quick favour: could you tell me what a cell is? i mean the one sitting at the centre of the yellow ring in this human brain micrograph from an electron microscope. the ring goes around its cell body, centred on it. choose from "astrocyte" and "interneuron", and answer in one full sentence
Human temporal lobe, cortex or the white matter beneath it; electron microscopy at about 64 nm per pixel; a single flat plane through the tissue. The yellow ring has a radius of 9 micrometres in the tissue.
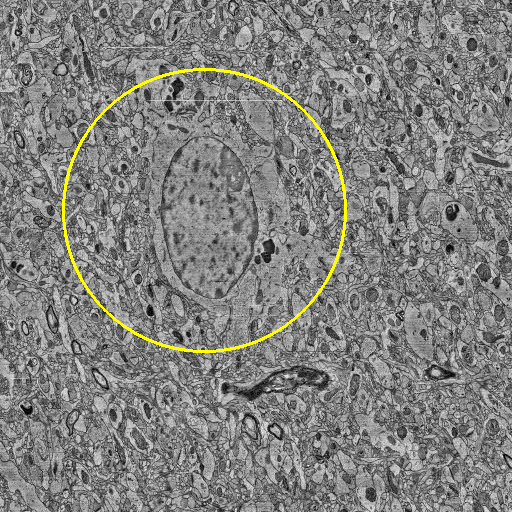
That's an astrocyte, the cell sitting at the centre of the yellow ring.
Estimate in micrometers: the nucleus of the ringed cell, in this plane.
The ringed cell's nucleus is roughly 11 by 6 micrometres and clearly longer than it is wide in this plane.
